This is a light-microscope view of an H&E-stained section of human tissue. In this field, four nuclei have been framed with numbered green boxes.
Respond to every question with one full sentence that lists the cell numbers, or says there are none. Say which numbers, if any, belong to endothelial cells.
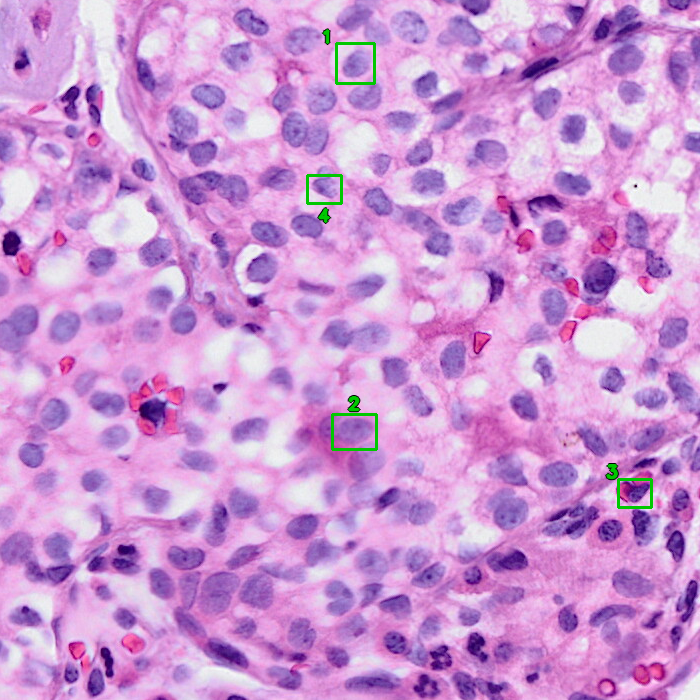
Only the cell marked 3 is an endothelial cell.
